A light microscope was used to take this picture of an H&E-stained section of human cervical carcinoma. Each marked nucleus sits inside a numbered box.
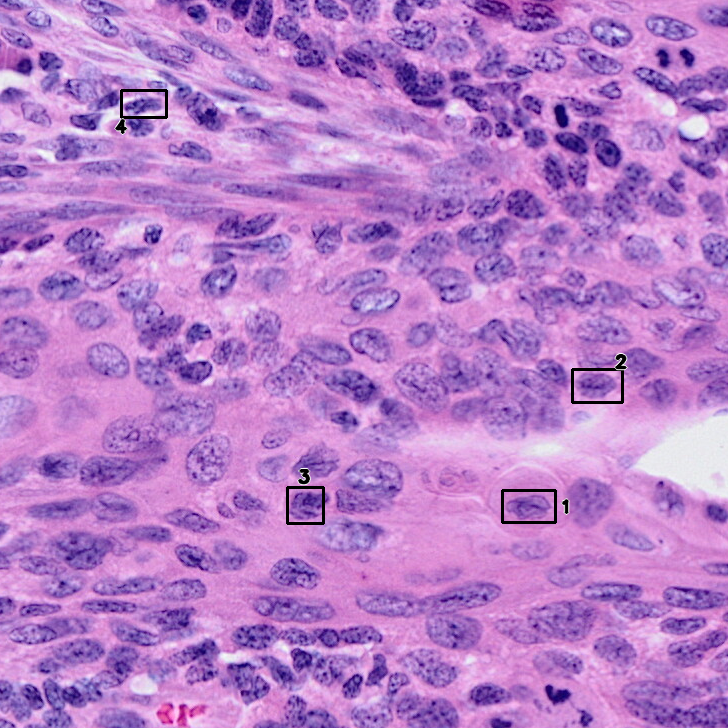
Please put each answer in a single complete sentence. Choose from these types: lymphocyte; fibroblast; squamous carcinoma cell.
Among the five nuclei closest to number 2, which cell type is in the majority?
Of the five nuclei nearest to number 2, most belong to squamous carcinoma cells.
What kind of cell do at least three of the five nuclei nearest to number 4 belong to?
Around number 4, most of the five nearest nuclei are those of lymphocytes.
